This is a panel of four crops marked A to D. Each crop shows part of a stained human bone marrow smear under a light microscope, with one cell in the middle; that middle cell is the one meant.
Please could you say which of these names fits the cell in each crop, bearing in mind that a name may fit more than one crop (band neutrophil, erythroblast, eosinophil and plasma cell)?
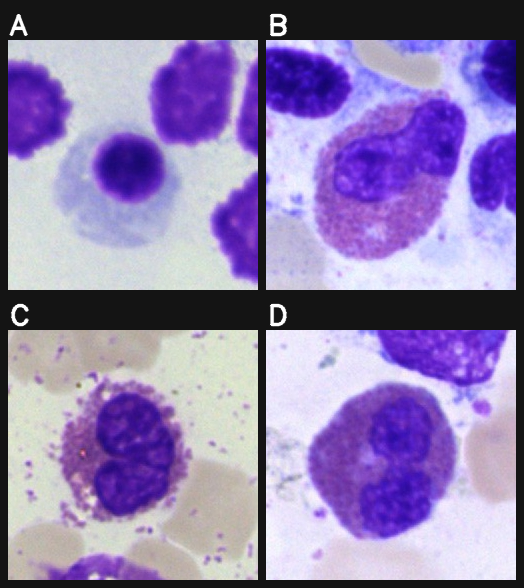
A: erythroblast
B: eosinophil
C: eosinophil
D: eosinophil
